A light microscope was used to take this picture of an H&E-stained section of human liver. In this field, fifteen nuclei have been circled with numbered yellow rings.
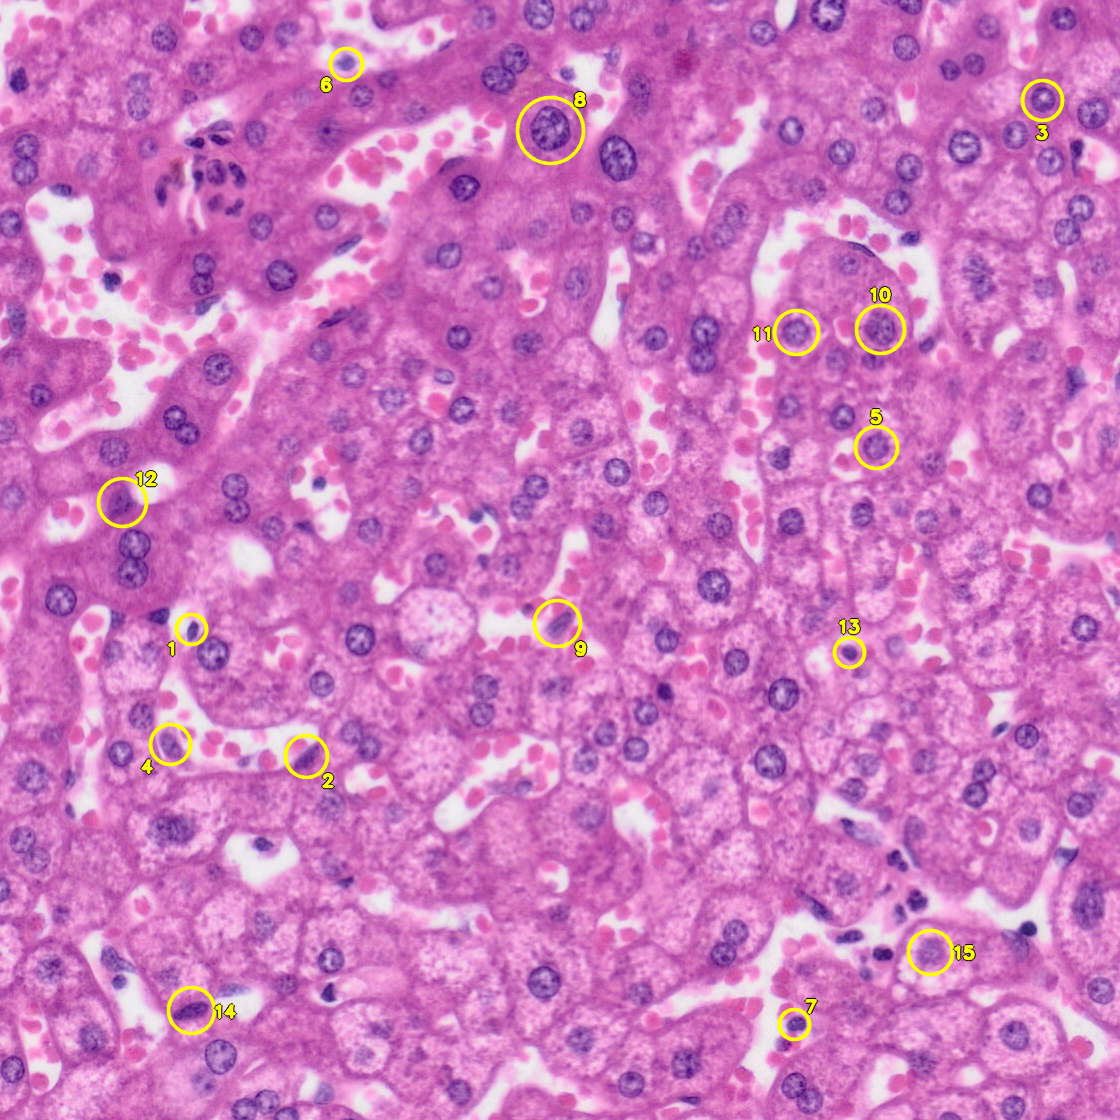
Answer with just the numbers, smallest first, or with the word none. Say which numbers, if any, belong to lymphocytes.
1, 6, 7, 13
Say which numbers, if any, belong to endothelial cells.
2, 12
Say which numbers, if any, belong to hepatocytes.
3, 5, 8, 10, 11, 15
